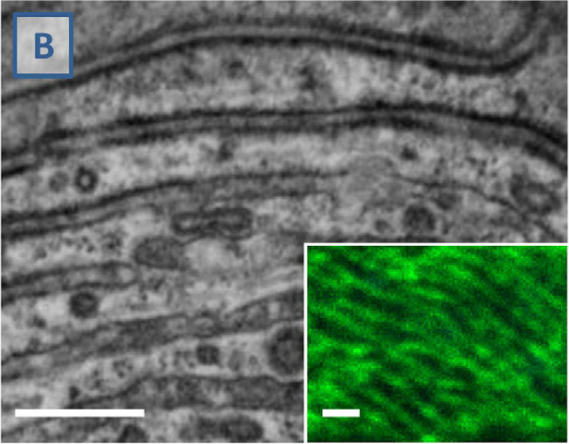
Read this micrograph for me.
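This electron micrograph shows a tangential cut through the surface of a nephrocyte, in which the slit diaphragms appear as continuous lines. Long dark lines, several of them paired, run roughly parallel across the image from side to side. Between them lies finely granular cytoplasm containing small round vesicles and profiles of membrane. The spacing between the lines is fairly regular, giving the surface a striped look. The fluorescent inset in the corner shows a matching pattern of fine, short, parallel green streaks on a dark background.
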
